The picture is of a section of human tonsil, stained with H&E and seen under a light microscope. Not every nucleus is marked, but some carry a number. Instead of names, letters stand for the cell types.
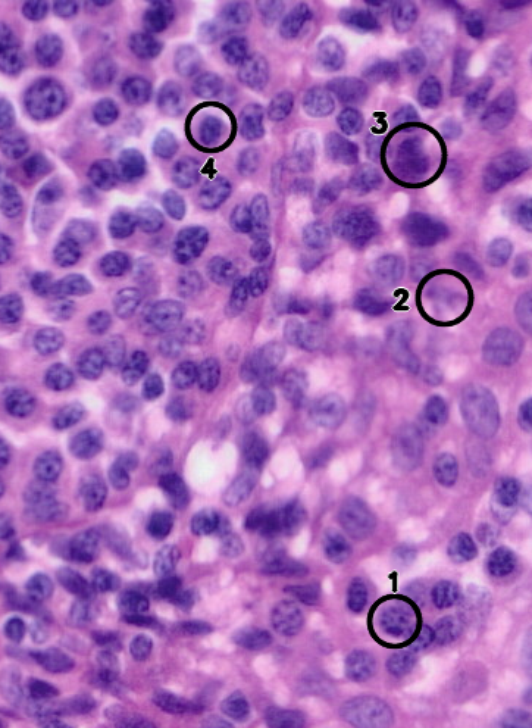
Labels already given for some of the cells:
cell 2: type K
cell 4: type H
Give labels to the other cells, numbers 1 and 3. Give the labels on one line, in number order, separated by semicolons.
type H; type K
